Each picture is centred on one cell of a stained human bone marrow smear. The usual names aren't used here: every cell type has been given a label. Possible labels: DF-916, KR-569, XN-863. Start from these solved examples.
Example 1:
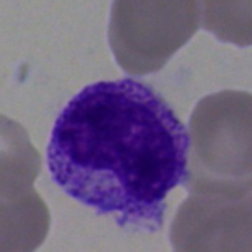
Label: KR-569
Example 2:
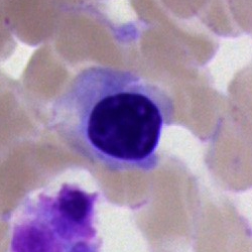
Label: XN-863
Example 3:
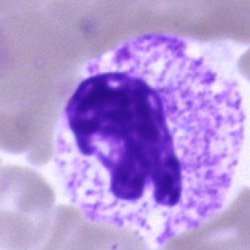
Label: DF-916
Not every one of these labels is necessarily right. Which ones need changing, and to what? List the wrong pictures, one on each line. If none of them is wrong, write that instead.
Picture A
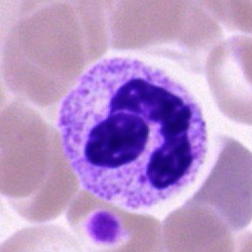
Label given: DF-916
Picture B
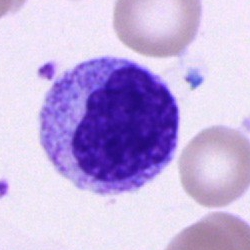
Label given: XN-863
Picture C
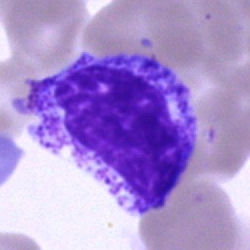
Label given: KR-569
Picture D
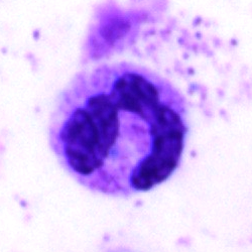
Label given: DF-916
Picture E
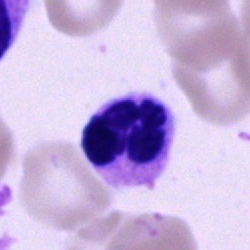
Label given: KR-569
B is labelled XN-863; correct label: KR-569
E is labelled KR-569; correct label: DF-916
